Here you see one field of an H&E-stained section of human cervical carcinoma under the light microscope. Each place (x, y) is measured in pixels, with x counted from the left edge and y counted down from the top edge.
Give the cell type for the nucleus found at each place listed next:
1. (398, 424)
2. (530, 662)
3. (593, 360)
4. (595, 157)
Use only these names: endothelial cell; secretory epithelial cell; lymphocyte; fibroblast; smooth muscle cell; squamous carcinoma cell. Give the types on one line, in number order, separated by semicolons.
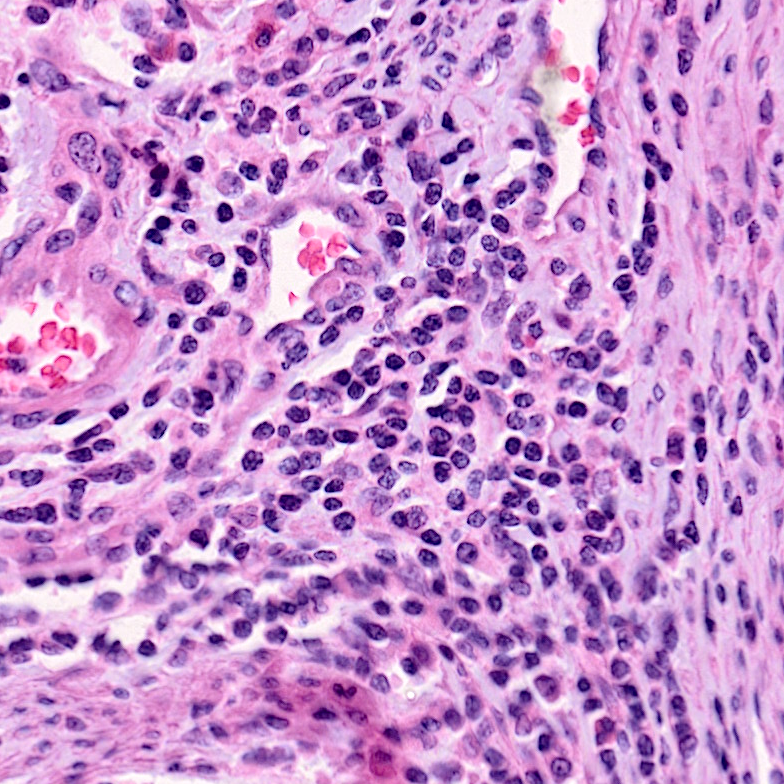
lymphocyte; lymphocyte; lymphocyte; endothelial cell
